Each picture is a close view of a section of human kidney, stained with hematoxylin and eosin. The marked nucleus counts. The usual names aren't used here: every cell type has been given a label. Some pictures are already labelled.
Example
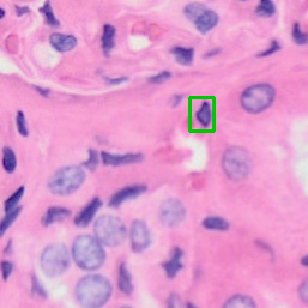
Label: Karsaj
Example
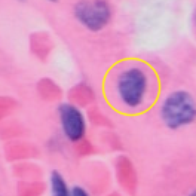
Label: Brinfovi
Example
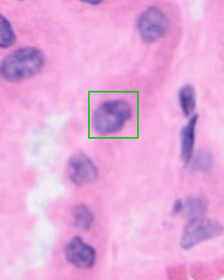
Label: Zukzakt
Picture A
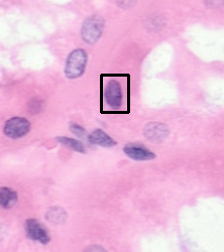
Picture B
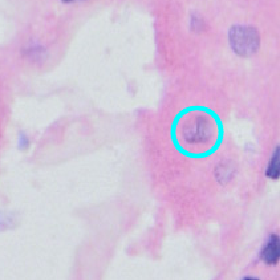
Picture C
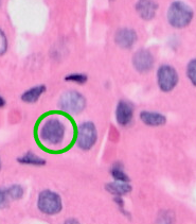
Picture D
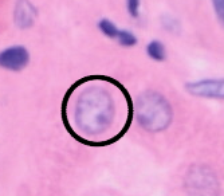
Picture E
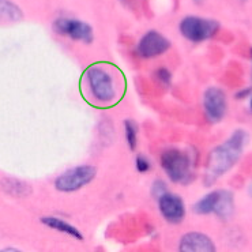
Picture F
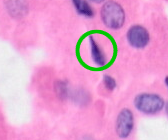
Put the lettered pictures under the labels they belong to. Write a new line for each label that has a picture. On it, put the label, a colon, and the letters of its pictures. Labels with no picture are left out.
Karsaj: F
Brinfovi: C, E
Zukzakt: A, B, D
